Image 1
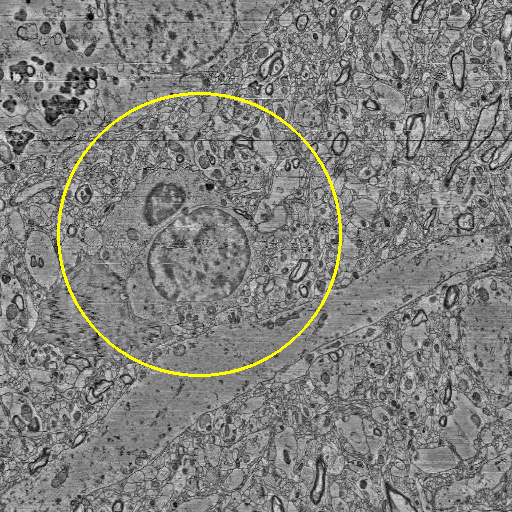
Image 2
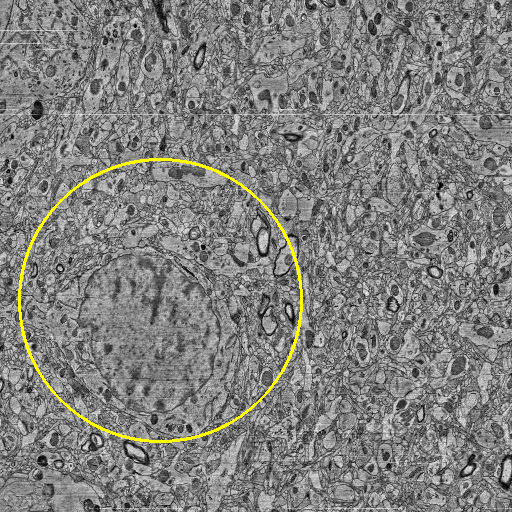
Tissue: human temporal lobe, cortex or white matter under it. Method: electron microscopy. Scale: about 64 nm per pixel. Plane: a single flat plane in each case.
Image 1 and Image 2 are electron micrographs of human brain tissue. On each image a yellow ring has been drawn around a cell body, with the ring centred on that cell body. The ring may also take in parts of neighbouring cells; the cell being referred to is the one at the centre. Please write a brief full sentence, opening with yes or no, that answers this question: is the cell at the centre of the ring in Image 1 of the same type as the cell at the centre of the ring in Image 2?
No, the two cells are of two types.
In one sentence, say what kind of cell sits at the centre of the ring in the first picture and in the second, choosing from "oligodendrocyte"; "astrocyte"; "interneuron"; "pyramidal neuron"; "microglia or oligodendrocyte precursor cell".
The first picture's ringed cell is an oligodendrocyte, while the second picture's is a pyramidal neuron.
